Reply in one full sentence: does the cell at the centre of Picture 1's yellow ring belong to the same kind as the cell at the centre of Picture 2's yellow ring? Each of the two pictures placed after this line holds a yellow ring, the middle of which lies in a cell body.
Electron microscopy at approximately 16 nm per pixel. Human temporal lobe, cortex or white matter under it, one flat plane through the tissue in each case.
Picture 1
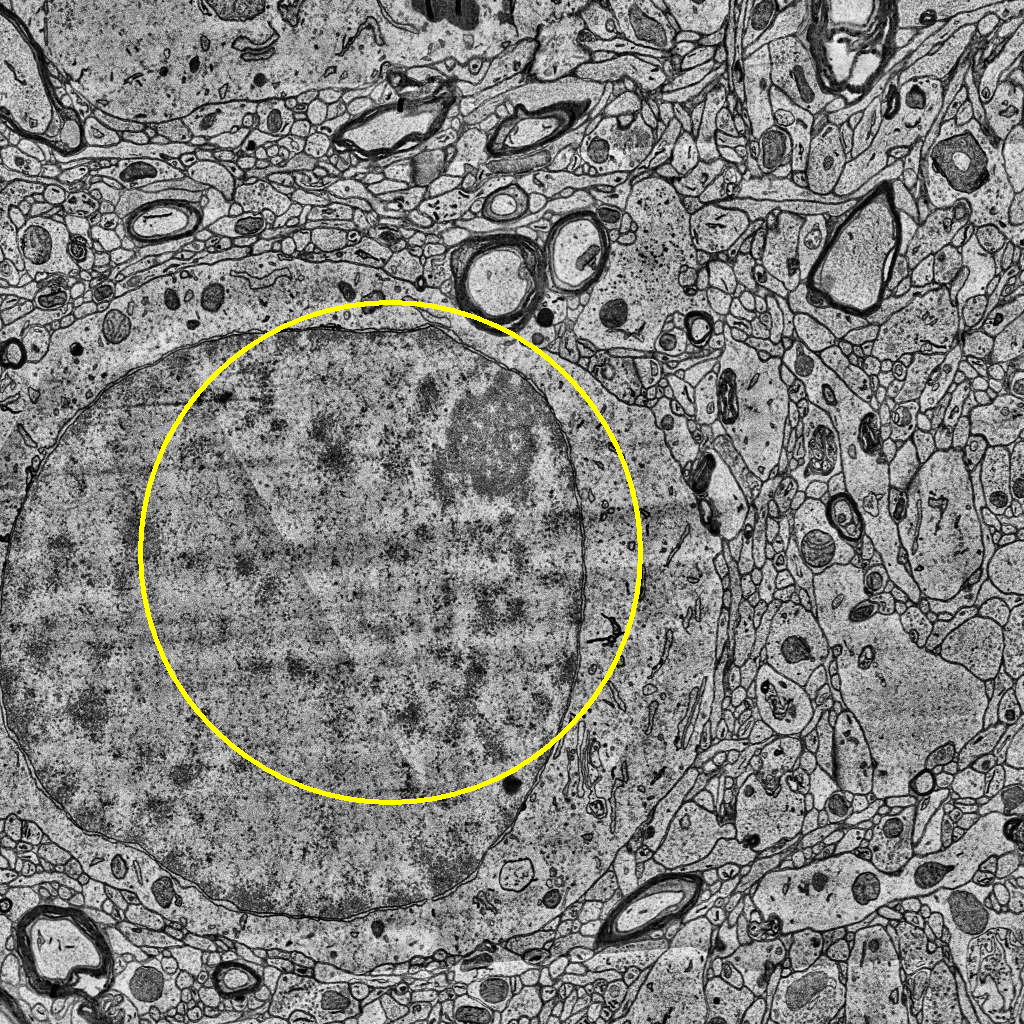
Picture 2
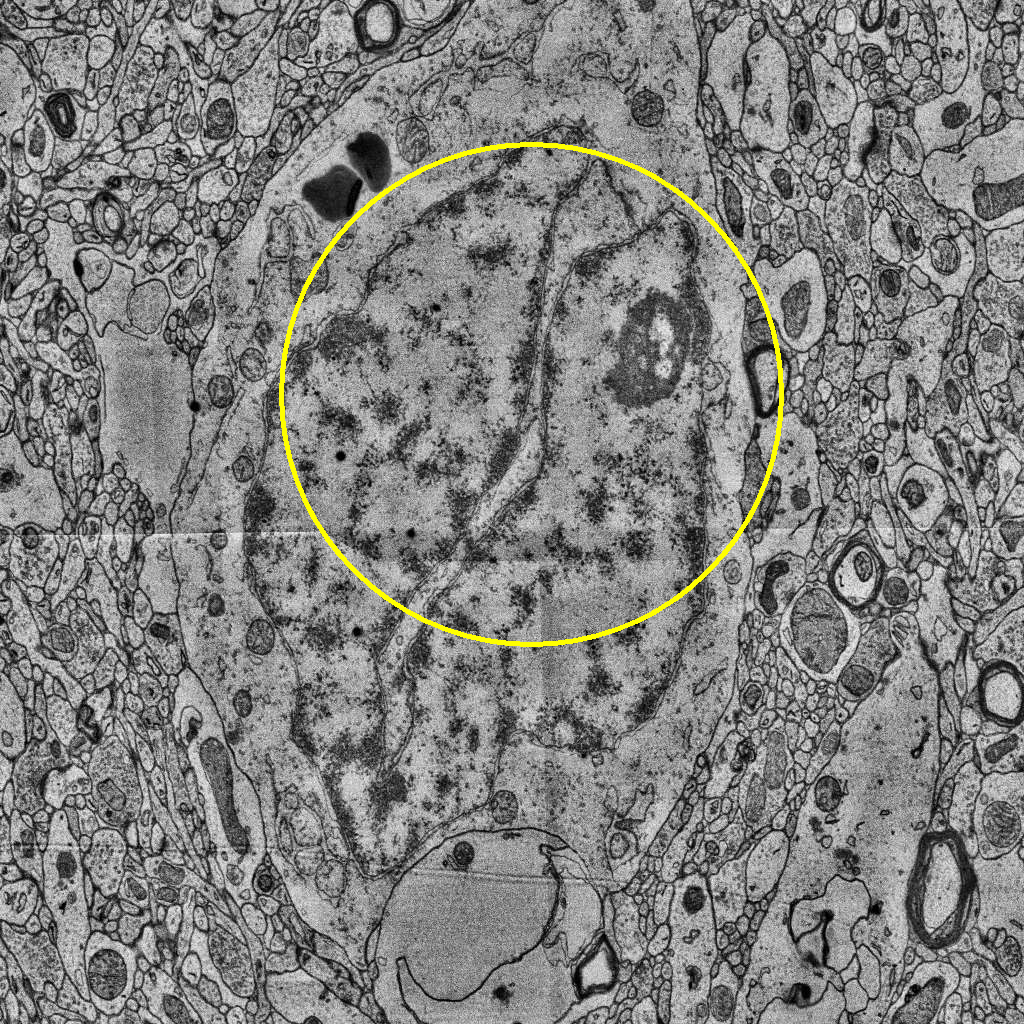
Yes, the cells at the ring centres in Picture 1 and Picture 2 are of one and the same kind.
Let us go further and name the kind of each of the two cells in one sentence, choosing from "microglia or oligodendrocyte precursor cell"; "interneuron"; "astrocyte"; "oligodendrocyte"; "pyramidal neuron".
Each cell, in the first picture and the second, is an interneuron.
